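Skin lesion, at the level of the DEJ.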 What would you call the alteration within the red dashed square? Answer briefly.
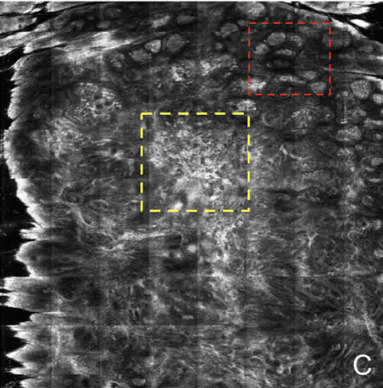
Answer: A clod pattern.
